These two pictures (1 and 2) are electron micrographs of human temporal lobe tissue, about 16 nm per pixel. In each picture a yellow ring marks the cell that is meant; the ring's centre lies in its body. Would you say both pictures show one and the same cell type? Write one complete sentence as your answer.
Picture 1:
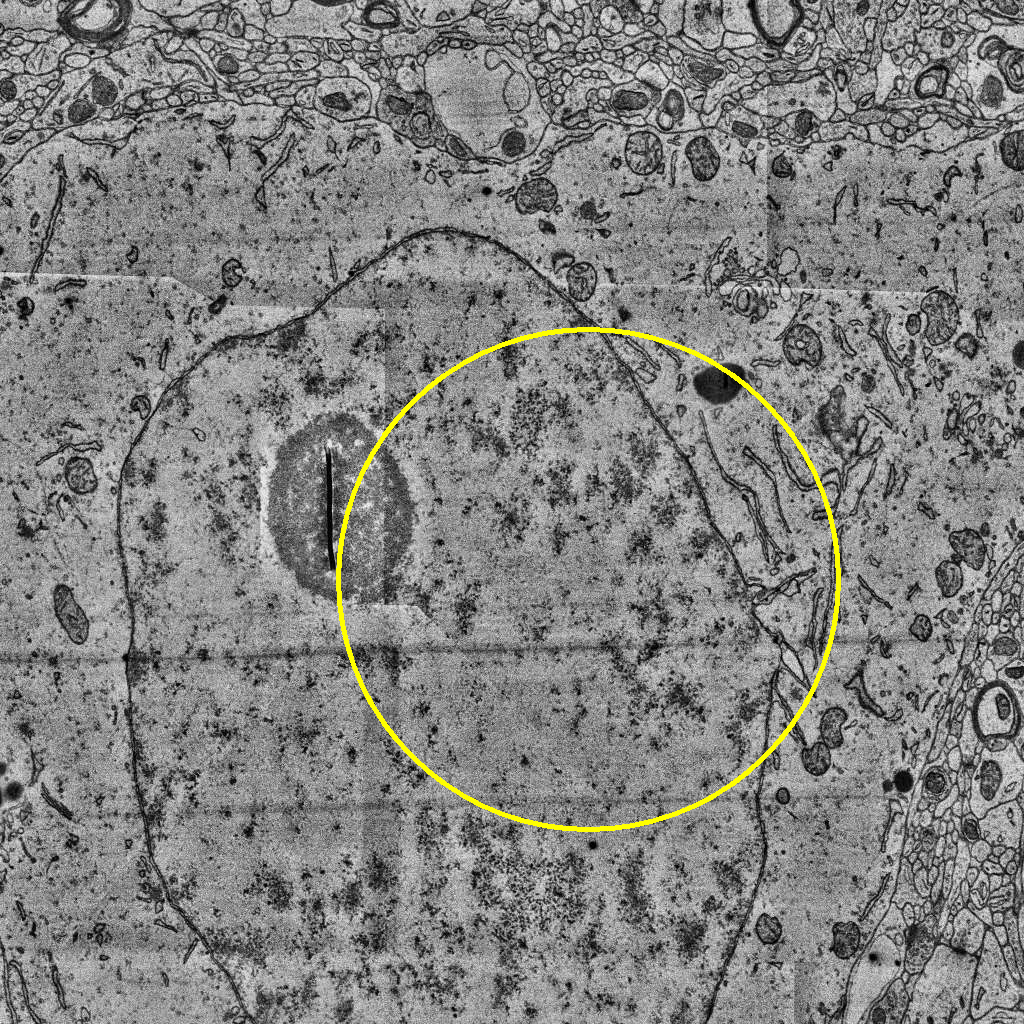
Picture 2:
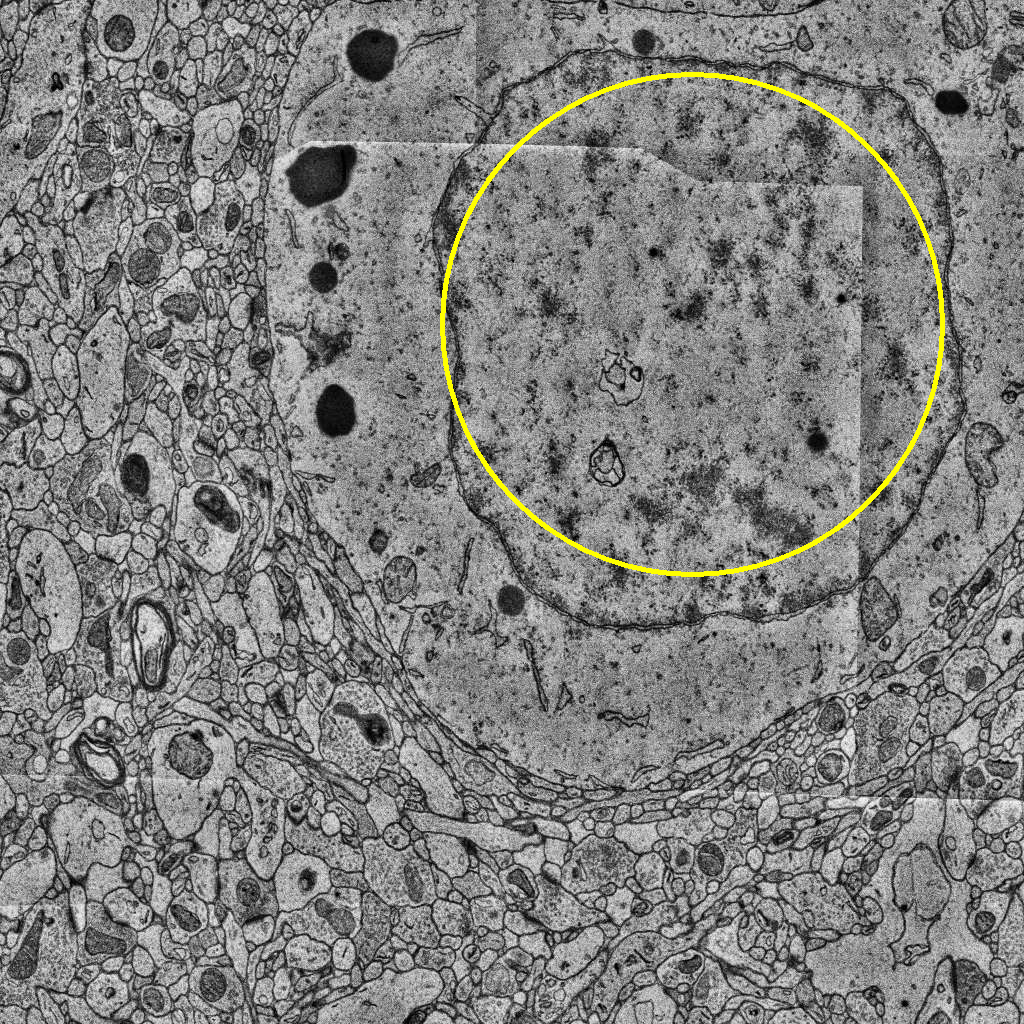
Yes; the cells in both pictures are pyramidal neurons.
